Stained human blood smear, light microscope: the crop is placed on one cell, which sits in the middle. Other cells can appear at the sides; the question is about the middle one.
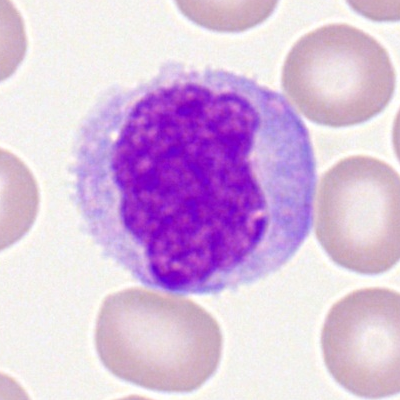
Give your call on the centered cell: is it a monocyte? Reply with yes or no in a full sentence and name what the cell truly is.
Yes, the cell shown centrally is a monocyte.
